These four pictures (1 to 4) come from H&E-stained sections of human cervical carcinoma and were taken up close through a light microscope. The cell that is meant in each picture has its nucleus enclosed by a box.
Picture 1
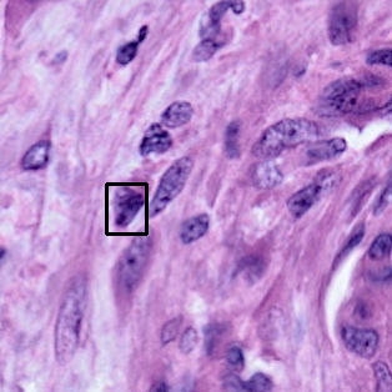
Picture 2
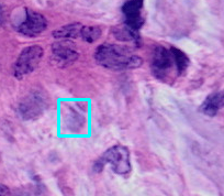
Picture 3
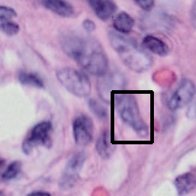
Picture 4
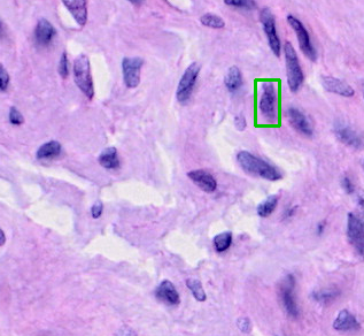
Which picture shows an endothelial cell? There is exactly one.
3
